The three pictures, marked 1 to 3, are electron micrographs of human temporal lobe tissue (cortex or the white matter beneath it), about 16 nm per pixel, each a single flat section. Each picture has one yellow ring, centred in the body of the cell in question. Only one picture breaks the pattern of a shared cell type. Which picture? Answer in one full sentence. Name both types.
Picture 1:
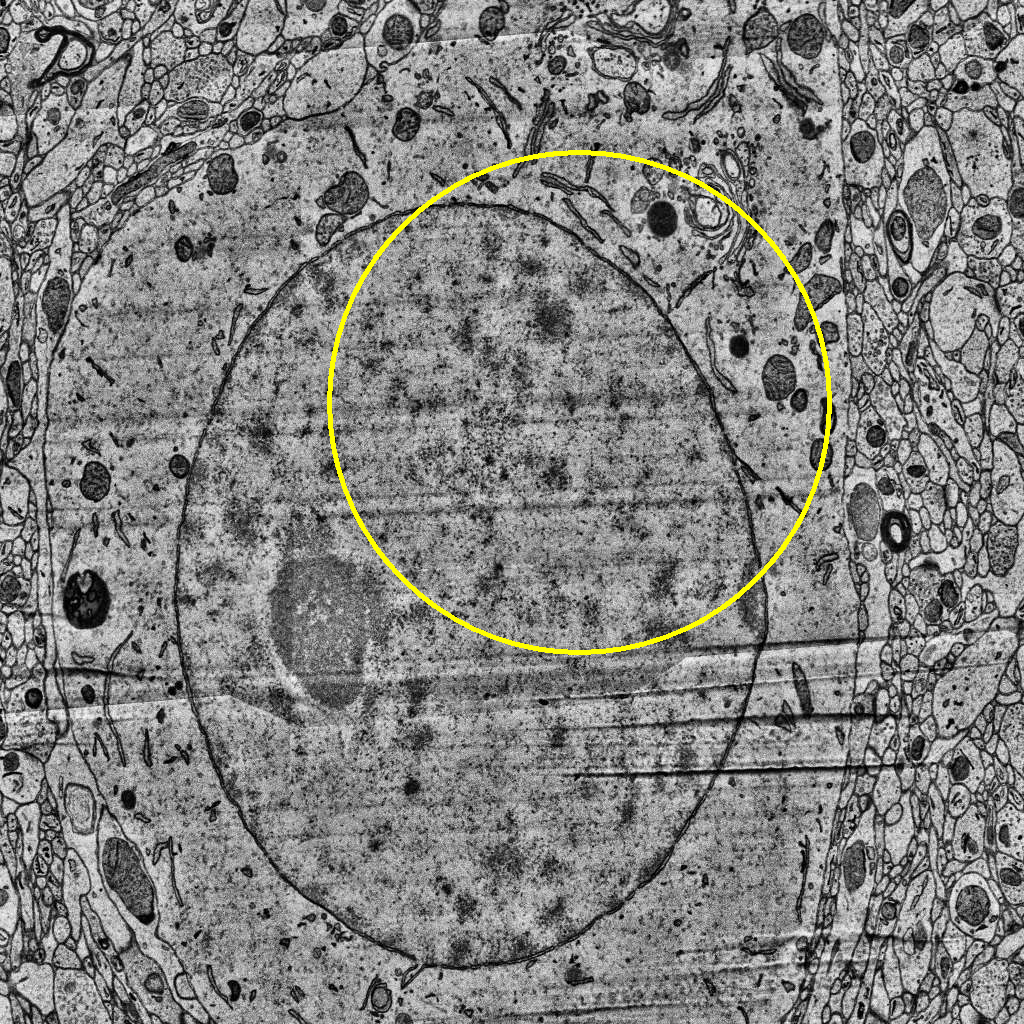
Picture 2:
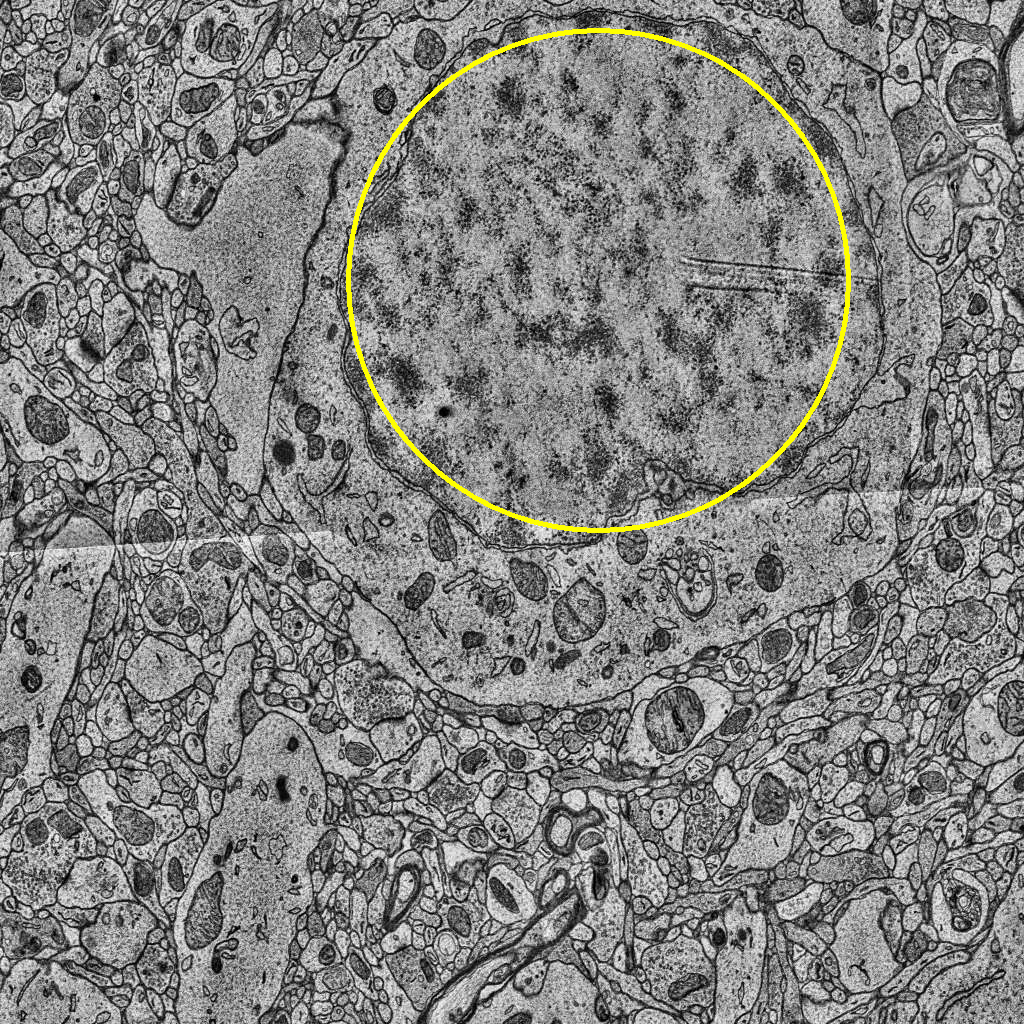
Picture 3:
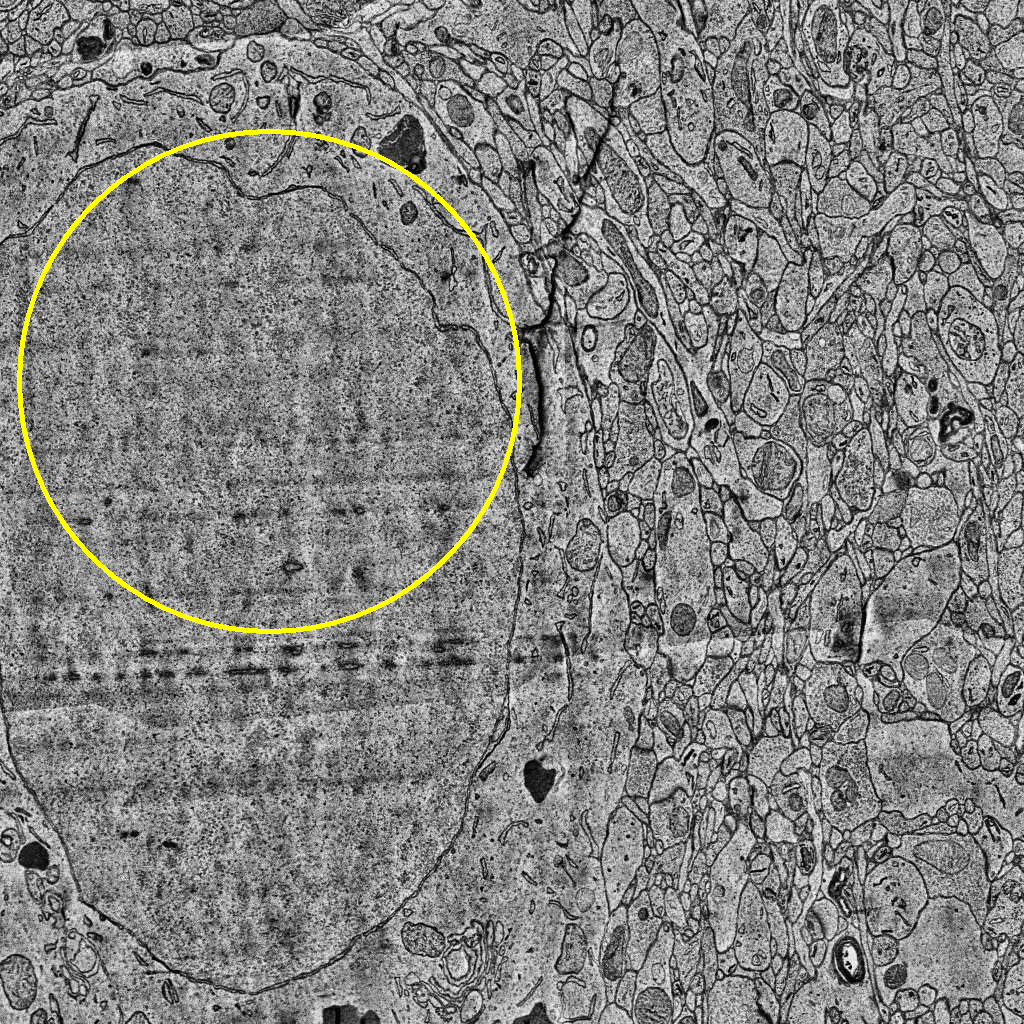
Picture 2 differs, because its cell is an interneuron and the rest are pyramidal neurons.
